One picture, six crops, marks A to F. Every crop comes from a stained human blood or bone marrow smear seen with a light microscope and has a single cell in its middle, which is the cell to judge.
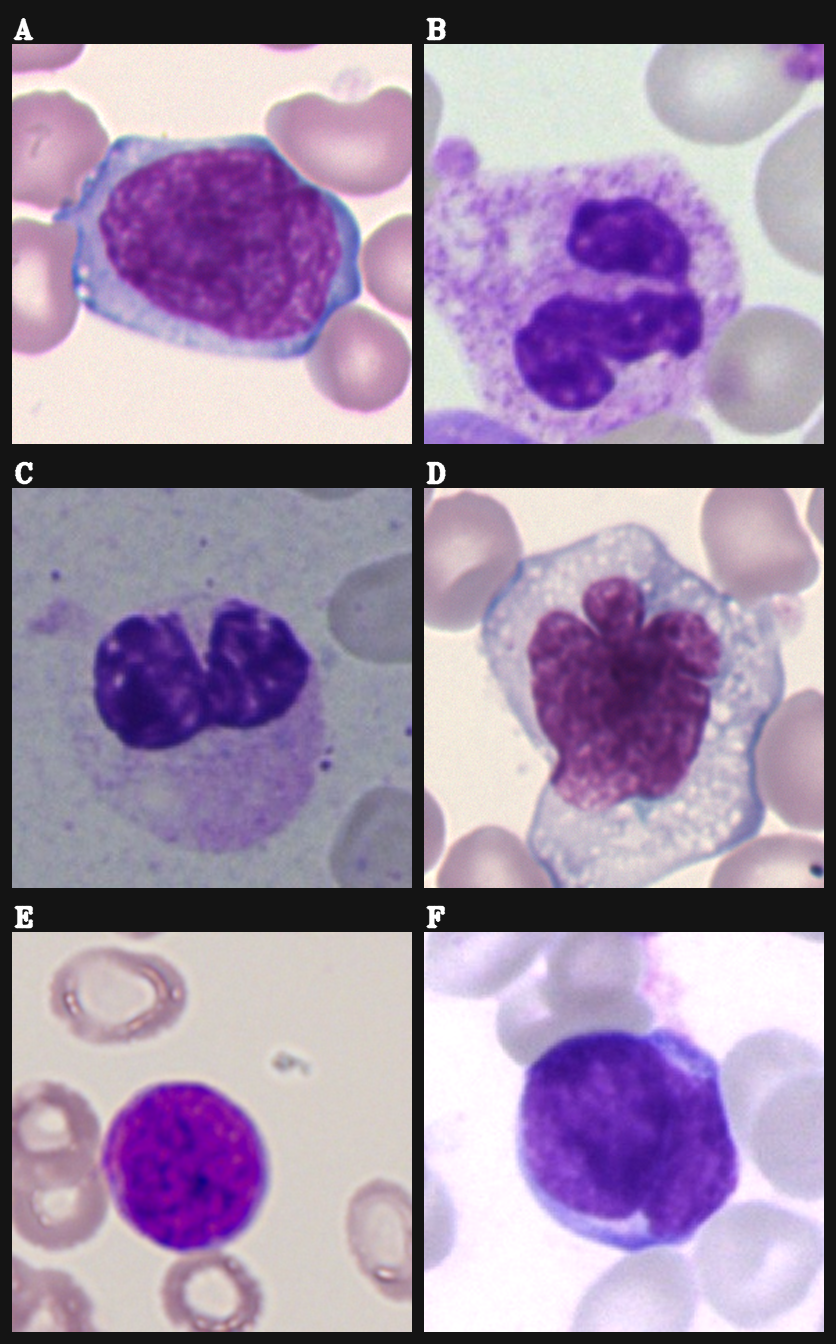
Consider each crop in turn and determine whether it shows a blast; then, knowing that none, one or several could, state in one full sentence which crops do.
The crops in this set showing blasts are A, E and F.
